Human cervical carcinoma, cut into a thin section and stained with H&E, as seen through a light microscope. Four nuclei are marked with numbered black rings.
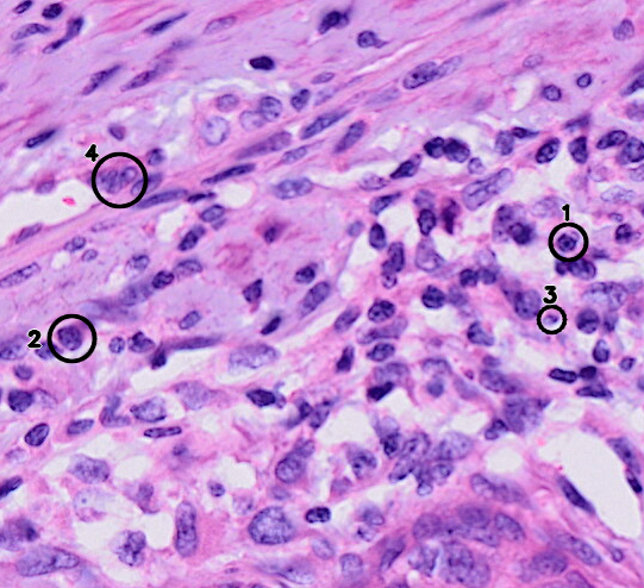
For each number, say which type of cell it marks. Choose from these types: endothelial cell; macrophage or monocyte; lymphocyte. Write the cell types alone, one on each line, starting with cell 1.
lymphocyte
lymphocyte
lymphocyte
endothelial cell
